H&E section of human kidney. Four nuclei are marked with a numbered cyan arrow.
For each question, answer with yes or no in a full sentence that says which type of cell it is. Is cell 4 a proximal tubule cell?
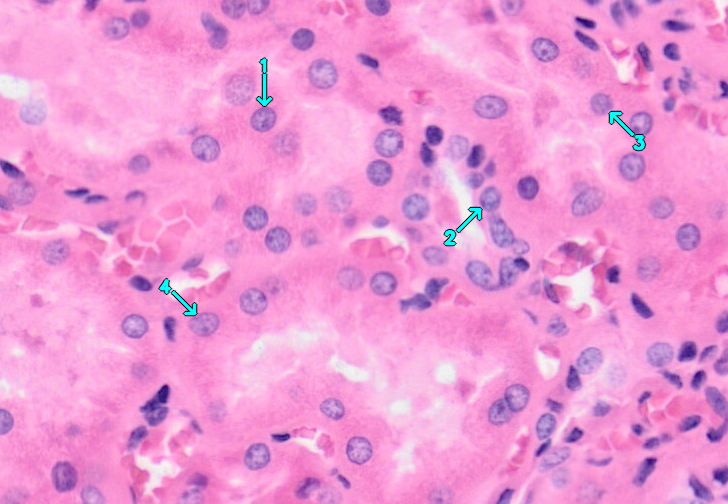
Yes, so the cell at label 4 is a proximal tubule cell.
